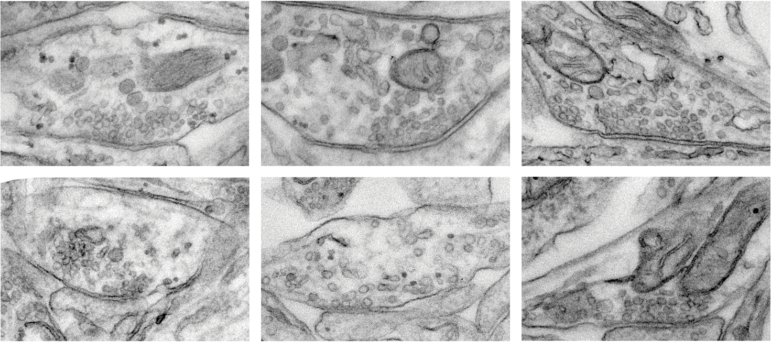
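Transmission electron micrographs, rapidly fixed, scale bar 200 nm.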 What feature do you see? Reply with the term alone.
Presynaptic terminals.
